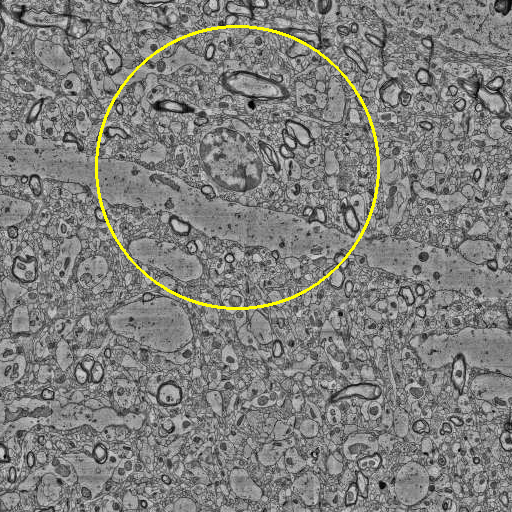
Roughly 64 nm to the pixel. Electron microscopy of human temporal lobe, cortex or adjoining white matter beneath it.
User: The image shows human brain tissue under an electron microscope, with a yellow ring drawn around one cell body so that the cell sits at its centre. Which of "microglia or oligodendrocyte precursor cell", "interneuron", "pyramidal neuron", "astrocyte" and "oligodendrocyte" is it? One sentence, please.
At the centre of the ring sits a microglial cell or oligodendrocyte precursor cell.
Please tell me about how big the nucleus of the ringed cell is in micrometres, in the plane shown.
The nucleus of the ringed cell is approximately 4 by 3 micrometres in this plane.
